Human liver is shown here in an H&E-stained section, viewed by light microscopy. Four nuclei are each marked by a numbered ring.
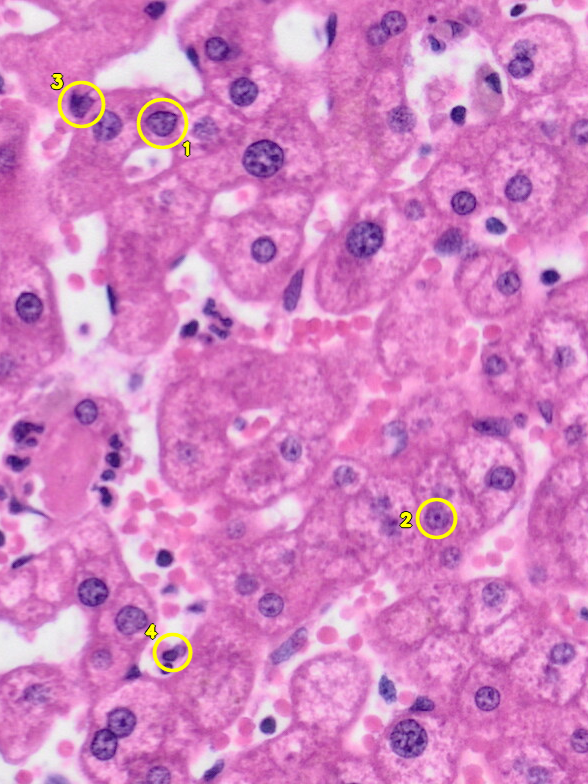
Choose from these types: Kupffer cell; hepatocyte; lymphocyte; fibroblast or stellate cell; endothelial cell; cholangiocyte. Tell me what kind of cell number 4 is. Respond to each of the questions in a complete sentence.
The cell assigned the number 4 is a Kupffer cell.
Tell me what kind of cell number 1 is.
What the number 1 marks in this field is a hepatocyte.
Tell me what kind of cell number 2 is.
Recognised here as a hepatocyte is the cell numbered 2.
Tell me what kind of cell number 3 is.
The expected answer is that cell 3 is a fibroblast or stellate cell.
